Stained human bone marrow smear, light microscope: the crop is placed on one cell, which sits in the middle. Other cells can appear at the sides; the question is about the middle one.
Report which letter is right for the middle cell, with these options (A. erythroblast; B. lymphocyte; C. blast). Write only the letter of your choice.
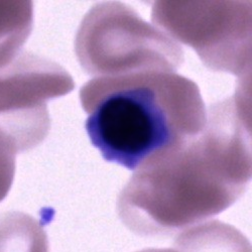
A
